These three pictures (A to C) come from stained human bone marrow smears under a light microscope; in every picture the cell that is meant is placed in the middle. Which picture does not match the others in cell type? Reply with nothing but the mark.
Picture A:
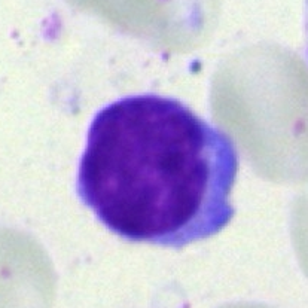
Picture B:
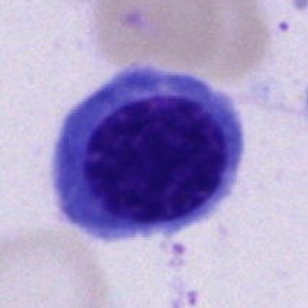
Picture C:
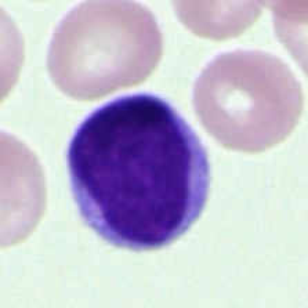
B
